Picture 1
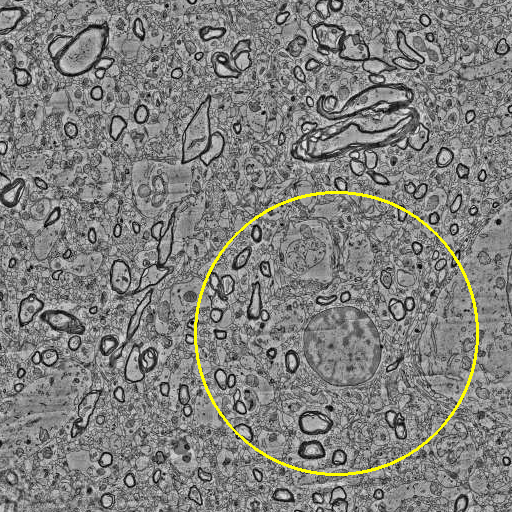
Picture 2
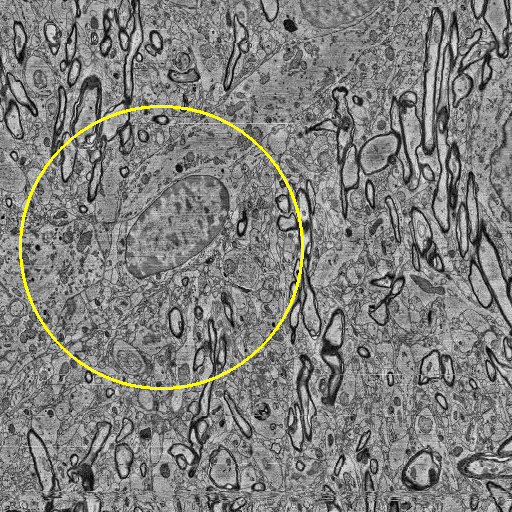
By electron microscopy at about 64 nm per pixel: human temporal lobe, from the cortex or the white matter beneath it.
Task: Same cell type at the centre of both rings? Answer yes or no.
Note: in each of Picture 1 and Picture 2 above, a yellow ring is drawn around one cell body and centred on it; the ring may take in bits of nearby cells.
yes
